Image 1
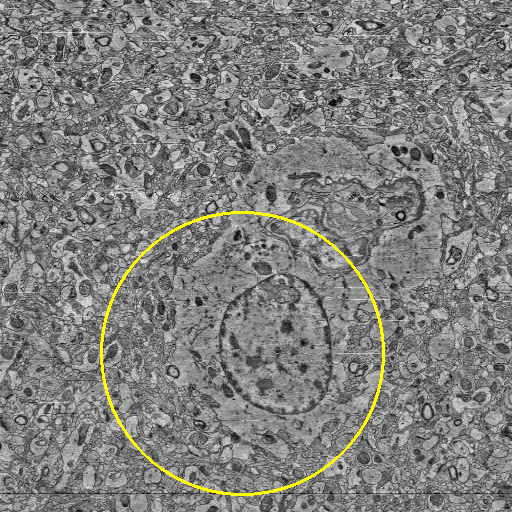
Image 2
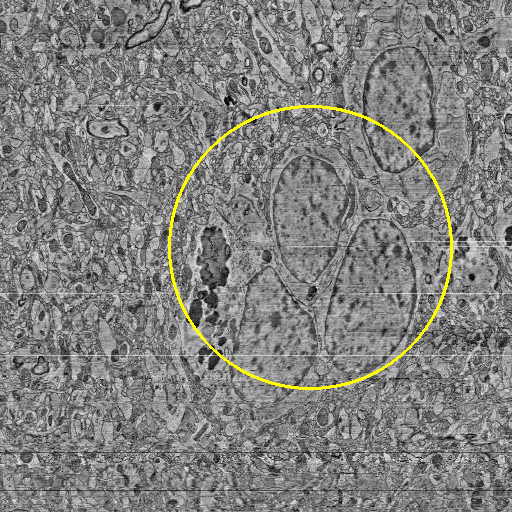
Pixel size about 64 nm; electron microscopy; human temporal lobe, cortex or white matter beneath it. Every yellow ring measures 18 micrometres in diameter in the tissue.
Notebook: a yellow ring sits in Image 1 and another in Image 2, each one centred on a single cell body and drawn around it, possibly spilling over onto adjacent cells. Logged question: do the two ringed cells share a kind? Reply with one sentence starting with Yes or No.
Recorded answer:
No, the centre cells inside the rings of Image 1 and Image 2 are of two kinds.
